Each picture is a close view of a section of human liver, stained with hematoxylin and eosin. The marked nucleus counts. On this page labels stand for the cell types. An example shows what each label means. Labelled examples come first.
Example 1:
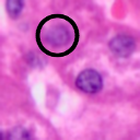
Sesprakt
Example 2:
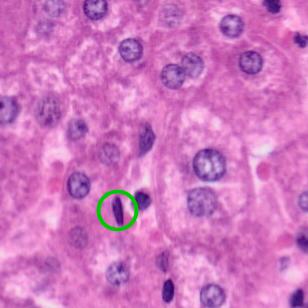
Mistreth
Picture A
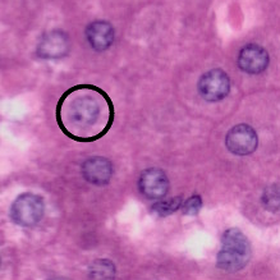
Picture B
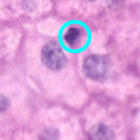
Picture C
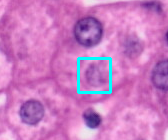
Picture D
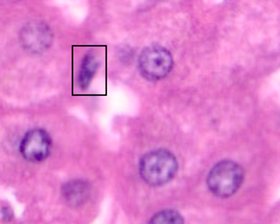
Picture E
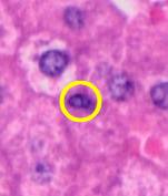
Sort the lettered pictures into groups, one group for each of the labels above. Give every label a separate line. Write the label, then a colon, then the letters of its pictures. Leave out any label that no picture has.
Sesprakt: A, C
Mistreth: B, D, E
